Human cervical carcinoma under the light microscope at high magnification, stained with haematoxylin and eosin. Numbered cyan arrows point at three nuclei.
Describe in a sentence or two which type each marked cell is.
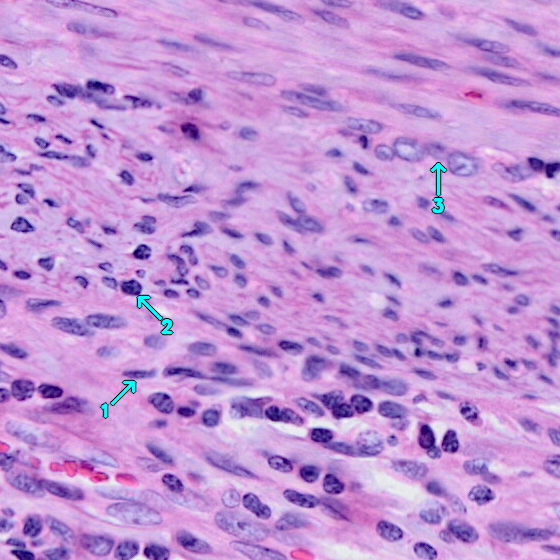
Cell 1 is a fibroblast, cell 2 is a lymphocyte and cell 3 is an endothelial cell.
